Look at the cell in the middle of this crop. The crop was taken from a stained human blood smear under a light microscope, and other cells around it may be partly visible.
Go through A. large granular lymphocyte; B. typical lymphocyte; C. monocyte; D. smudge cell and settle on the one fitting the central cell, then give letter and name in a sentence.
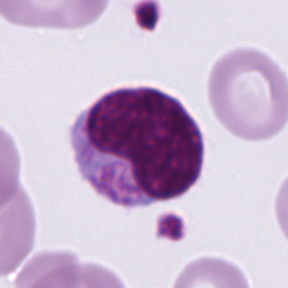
The centrally positioned cell is a large granular lymphocyte, consistent with option A, which is correct.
